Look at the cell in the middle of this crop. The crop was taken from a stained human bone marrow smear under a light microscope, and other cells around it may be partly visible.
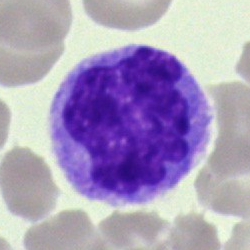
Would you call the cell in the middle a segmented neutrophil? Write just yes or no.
no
